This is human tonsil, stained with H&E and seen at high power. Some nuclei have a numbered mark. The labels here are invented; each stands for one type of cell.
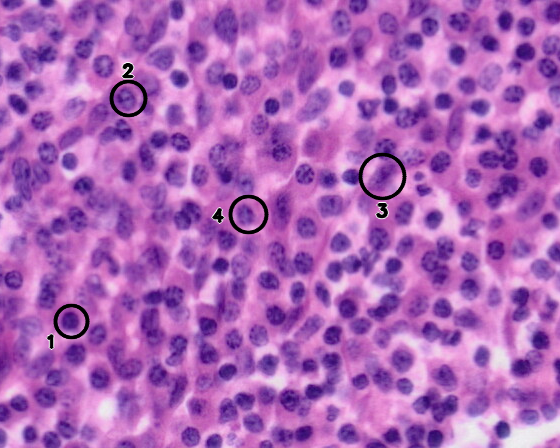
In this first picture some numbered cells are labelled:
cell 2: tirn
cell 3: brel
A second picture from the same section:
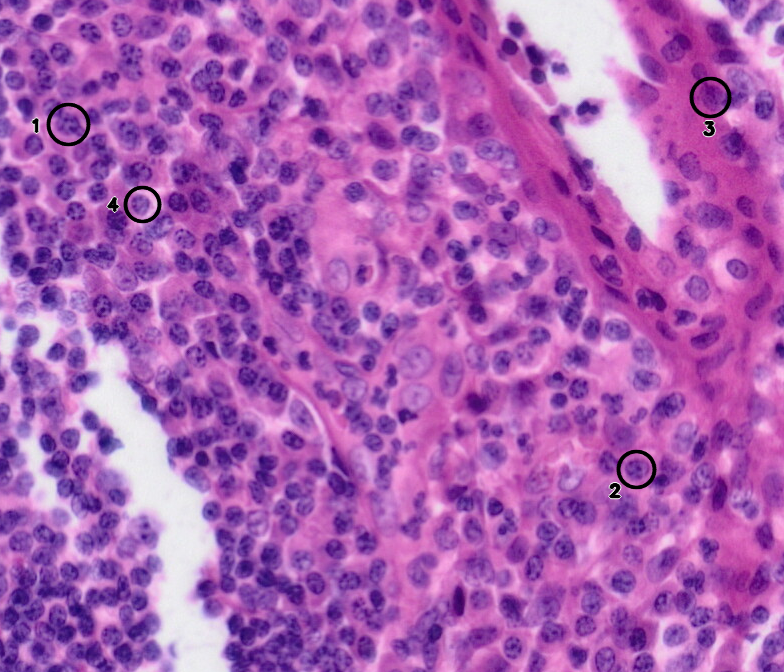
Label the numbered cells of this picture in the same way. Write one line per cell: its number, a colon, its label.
1: tirn
2: tirn
3: brel
4: tirn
